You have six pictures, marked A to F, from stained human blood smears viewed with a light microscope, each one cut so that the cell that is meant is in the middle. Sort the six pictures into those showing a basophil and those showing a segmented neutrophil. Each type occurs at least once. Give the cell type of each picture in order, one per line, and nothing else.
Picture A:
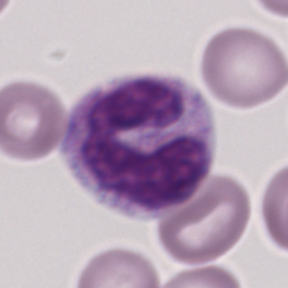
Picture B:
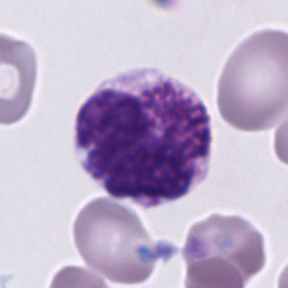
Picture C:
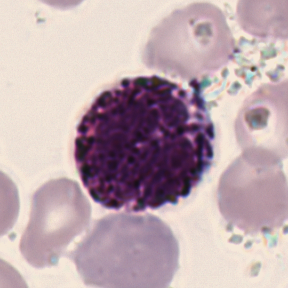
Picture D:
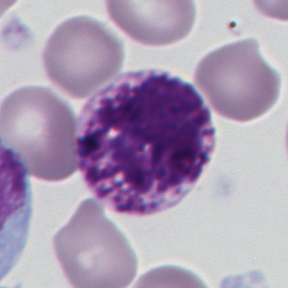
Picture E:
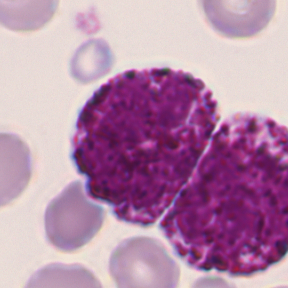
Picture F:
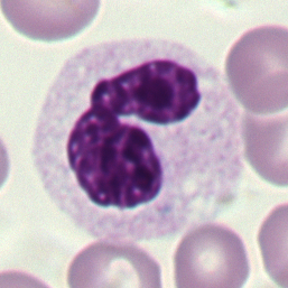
segmented neutrophil
basophil
basophil
basophil
basophil
segmented neutrophil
